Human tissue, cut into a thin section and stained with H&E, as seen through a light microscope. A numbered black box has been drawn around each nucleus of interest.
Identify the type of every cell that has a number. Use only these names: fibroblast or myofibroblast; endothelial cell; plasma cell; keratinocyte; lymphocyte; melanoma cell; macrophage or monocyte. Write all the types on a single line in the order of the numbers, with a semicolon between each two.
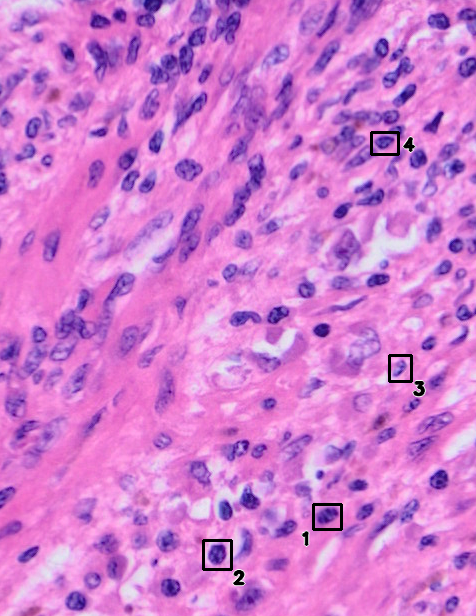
plasma cell; lymphocyte; lymphocyte; lymphocyte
